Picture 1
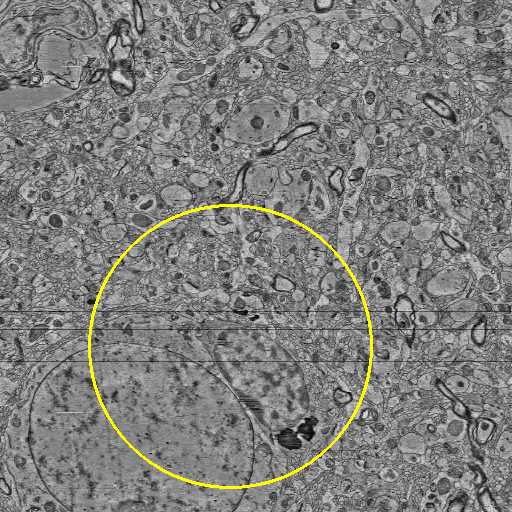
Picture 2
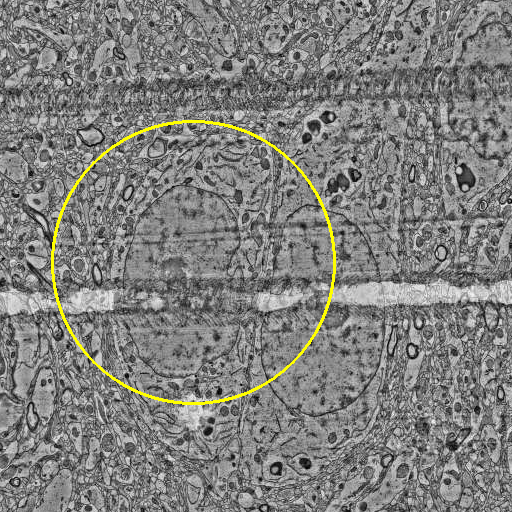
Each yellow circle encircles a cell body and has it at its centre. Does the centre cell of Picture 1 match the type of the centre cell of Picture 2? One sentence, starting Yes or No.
No, the cell centred in Picture 1 and the one in Picture 2 have separate types.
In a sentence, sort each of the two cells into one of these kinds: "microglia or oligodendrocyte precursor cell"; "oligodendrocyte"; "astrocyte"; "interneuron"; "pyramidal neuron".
The first of the two cells is an oligodendrocyte, and the second is an interneuron.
